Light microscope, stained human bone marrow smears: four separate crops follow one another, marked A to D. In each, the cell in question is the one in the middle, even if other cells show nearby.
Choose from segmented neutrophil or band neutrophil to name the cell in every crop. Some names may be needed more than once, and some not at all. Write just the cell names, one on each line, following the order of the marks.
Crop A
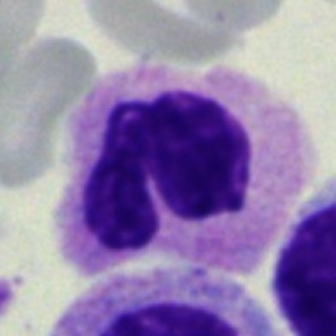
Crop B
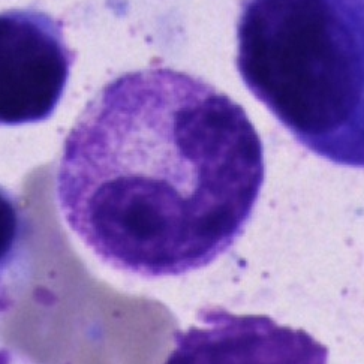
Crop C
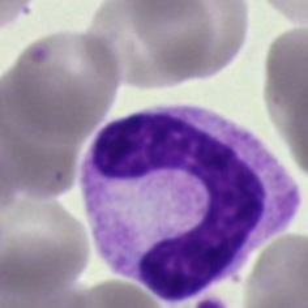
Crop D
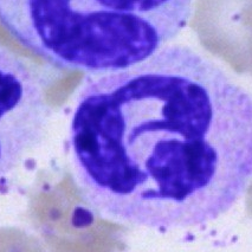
segmented neutrophil
band neutrophil
band neutrophil
segmented neutrophil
